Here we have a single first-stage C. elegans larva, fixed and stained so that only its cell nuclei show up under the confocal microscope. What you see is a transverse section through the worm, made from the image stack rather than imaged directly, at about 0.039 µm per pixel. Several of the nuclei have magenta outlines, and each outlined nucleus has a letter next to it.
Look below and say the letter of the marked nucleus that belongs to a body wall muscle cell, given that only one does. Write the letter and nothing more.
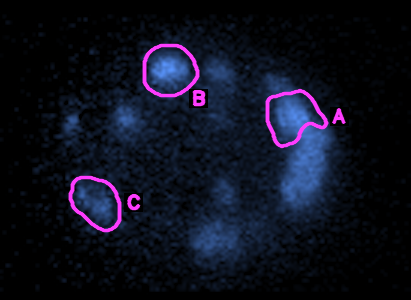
C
